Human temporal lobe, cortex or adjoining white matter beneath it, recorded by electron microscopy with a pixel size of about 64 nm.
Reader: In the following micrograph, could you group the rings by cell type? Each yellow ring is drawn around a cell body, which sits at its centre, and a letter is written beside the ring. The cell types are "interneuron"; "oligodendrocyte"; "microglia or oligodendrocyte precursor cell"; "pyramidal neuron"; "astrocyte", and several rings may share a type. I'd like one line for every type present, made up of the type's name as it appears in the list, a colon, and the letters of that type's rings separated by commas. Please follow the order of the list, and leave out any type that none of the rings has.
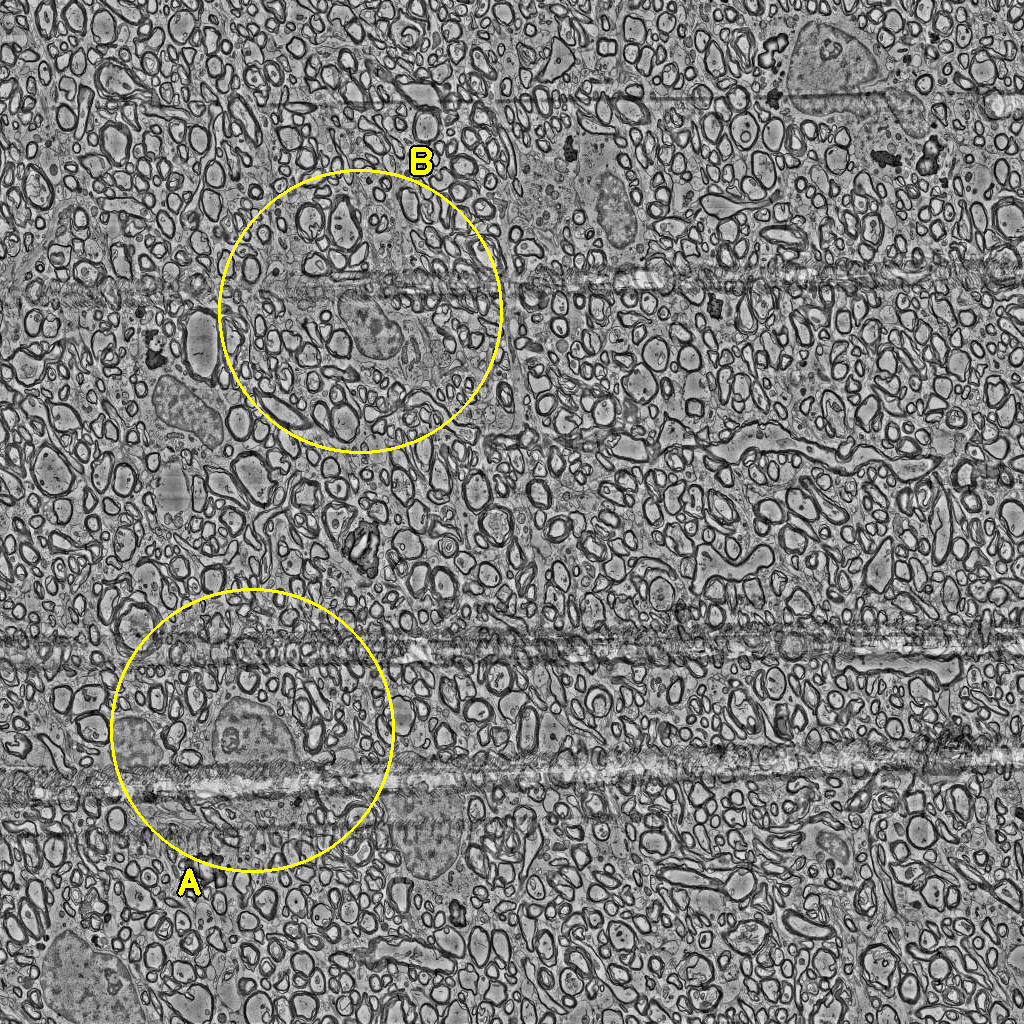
oligodendrocyte: A
microglia or oligodendrocyte precursor cell: B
